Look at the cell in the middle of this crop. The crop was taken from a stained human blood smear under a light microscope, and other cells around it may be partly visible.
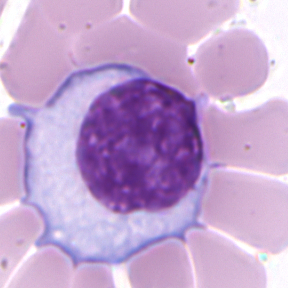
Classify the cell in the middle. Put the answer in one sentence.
For this crop, the central cell is a plasma cell.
